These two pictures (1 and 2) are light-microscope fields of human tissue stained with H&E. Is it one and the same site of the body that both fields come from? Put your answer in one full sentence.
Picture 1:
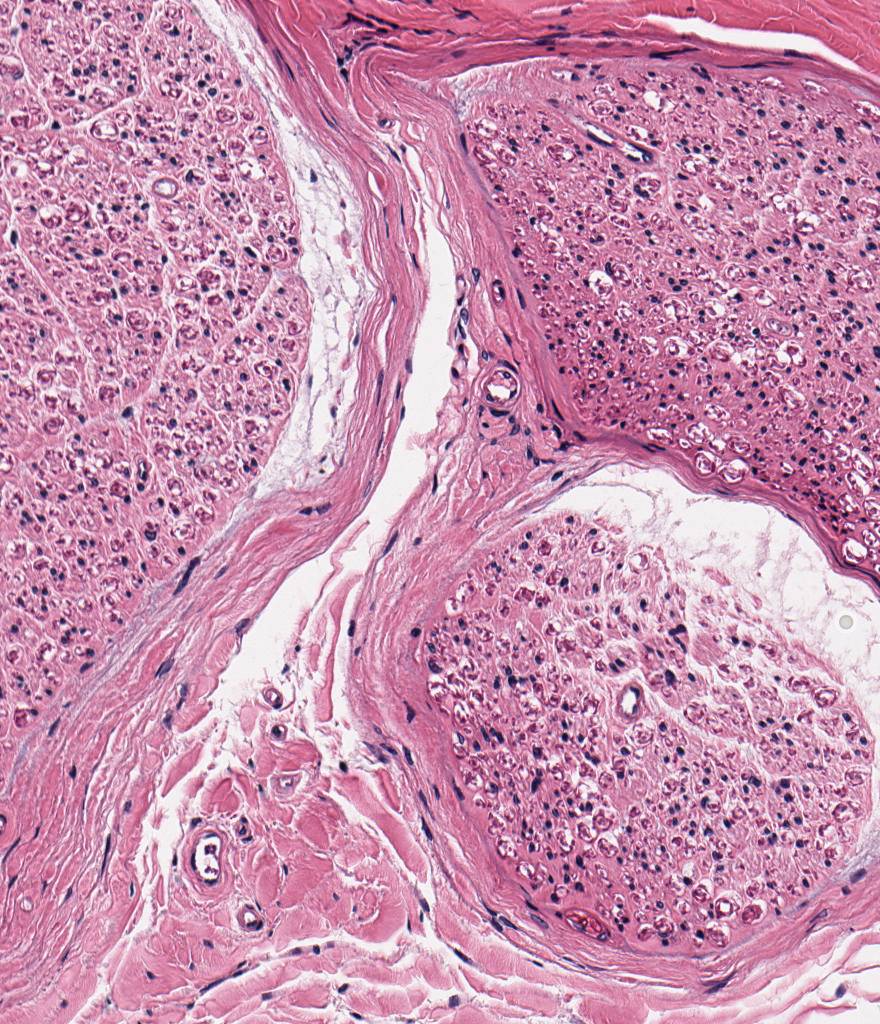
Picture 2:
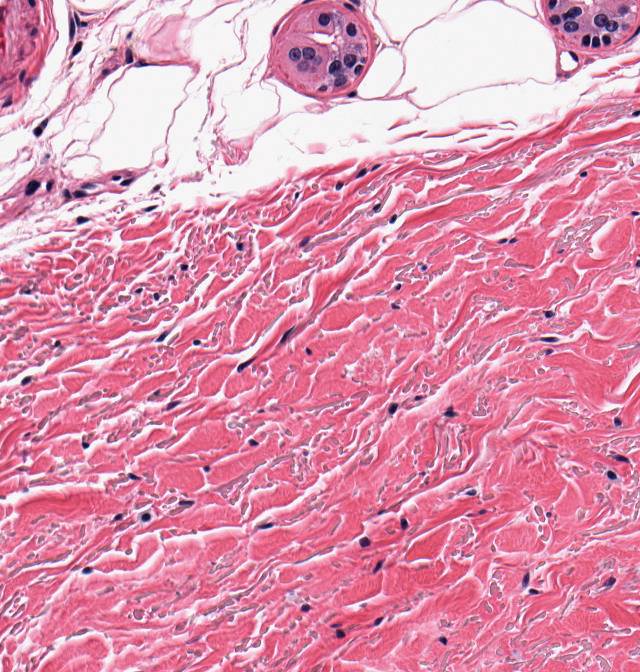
No: picture 1 comes from the tibial nerve, but picture 2 comes from the skin of the lower leg.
